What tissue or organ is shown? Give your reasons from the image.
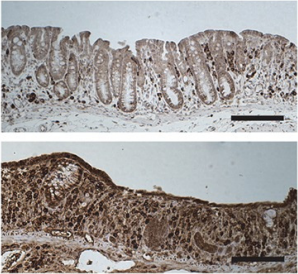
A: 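The upper section shows straight, parallel tubular glands opening onto a flat surface. The glands are lined by a single layer of columnar cells with pale goblet-like vacuoles.
Hence: colonic epithelia.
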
